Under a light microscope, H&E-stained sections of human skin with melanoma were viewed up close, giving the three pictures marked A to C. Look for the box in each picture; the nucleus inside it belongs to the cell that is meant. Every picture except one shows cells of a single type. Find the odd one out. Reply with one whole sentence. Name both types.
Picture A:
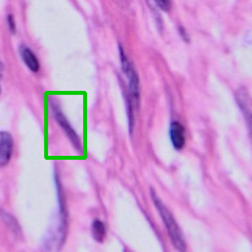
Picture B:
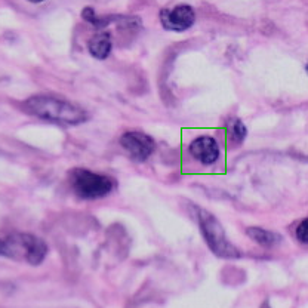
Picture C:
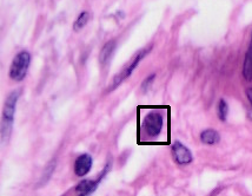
The others show plasma cells, but picture A shows a “fibroblast or myofibroblast”.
